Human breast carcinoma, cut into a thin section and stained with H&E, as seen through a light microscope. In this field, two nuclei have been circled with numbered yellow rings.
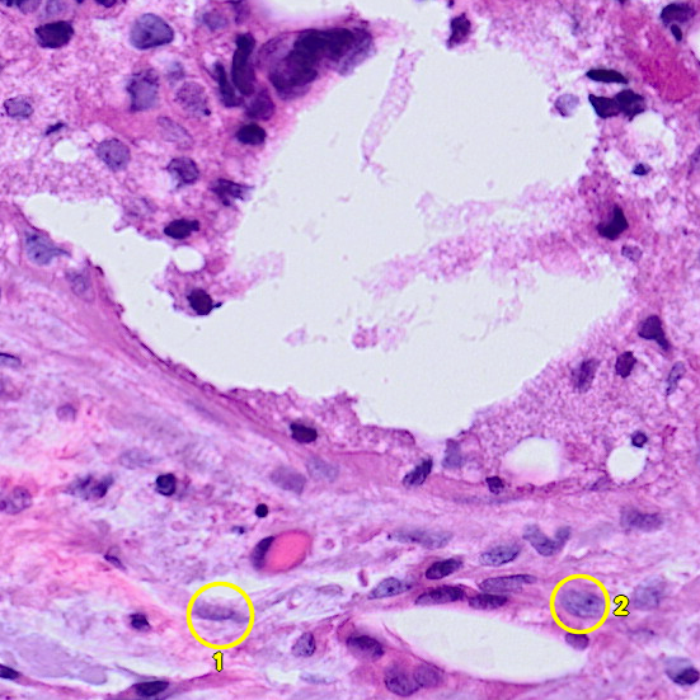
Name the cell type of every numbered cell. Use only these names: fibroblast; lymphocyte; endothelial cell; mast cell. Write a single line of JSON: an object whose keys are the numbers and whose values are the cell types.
{"1": "fibroblast", "2": "endothelial cell"}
